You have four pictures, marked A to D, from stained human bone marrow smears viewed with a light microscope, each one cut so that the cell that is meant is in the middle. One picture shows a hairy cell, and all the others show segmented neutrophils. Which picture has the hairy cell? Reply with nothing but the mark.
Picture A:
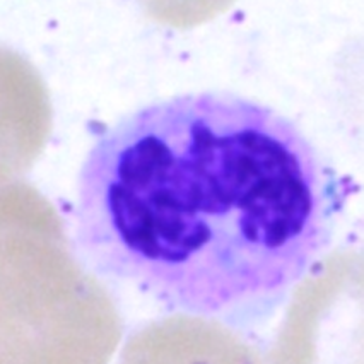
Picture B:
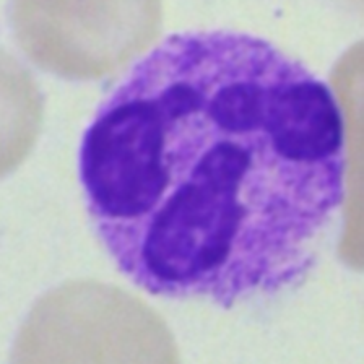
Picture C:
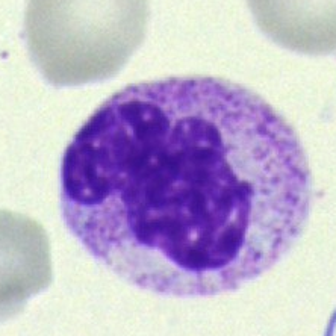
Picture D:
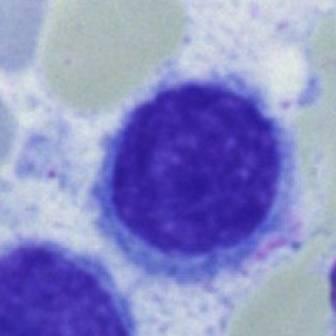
D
